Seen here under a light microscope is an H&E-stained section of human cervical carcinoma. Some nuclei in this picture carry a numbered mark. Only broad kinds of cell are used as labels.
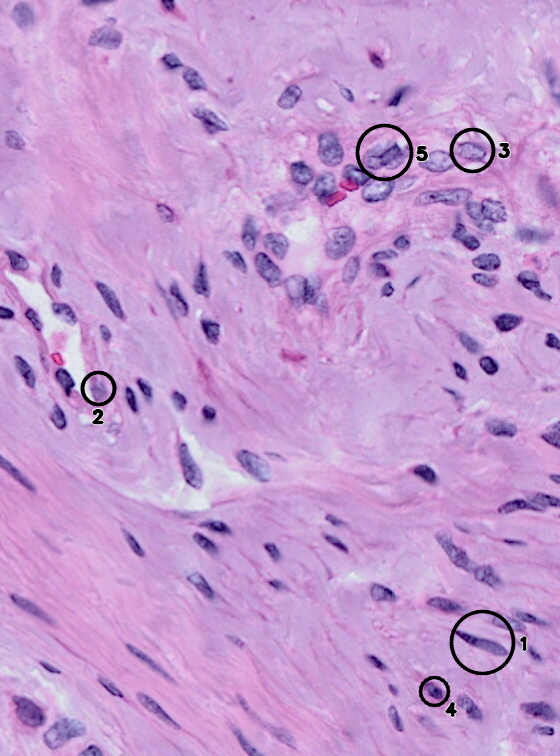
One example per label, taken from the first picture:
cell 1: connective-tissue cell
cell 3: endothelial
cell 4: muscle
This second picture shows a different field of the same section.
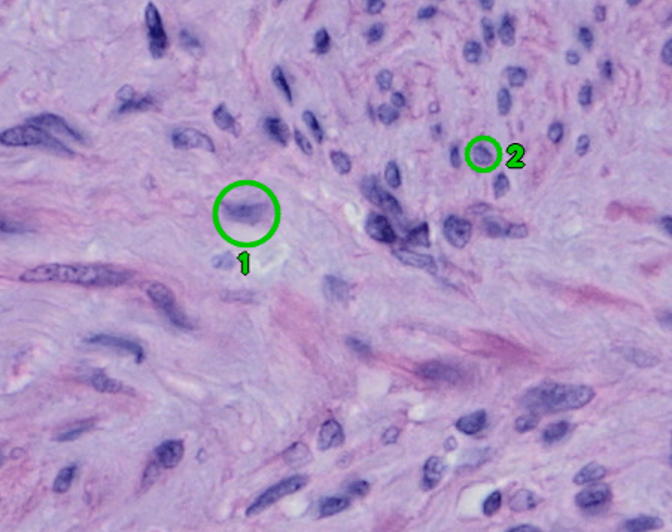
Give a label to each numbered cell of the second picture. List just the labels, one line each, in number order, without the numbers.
connective-tissue cell
muscle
